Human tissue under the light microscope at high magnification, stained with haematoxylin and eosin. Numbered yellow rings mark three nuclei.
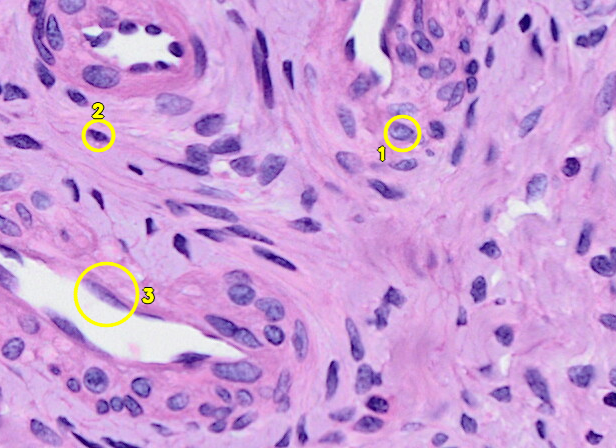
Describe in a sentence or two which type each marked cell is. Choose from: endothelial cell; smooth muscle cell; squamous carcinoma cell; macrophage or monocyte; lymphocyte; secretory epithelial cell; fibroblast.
Cell 1 is a smooth muscle cell. Cell 2 is a fibroblast. Cell 3 is an endothelial cell.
